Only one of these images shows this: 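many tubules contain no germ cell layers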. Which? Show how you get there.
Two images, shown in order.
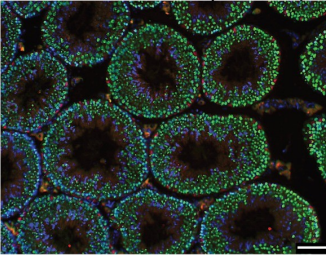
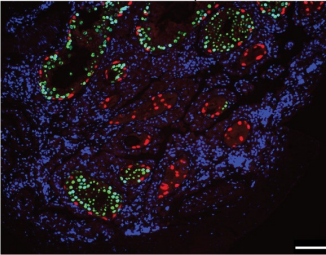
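The second image. Second image: several tubules hold only red nuclei and no green cells, with much tissue between tubules. First image: every tubule is packed with many layers of green nuclei around a lumen.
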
